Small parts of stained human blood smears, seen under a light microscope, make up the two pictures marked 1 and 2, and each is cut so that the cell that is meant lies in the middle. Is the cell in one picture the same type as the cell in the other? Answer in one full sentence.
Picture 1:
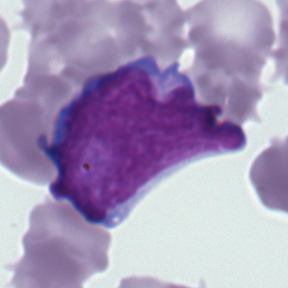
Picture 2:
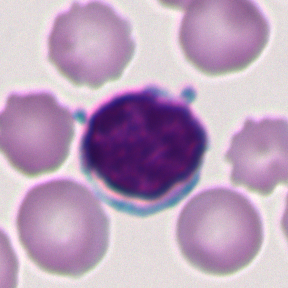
No; the cell in picture 1 is a myeloblast, while the one in picture 2 is a typical lymphocyte.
